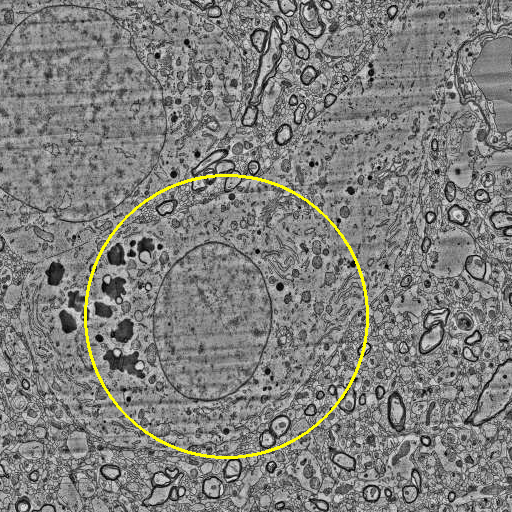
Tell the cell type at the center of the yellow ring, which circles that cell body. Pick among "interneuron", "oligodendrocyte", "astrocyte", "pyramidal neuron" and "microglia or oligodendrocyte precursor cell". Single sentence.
The ring is centered on the body of a pyramidal neuron.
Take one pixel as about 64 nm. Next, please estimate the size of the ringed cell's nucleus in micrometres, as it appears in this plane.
In this plane, approximately 10 by 8 micrometers.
